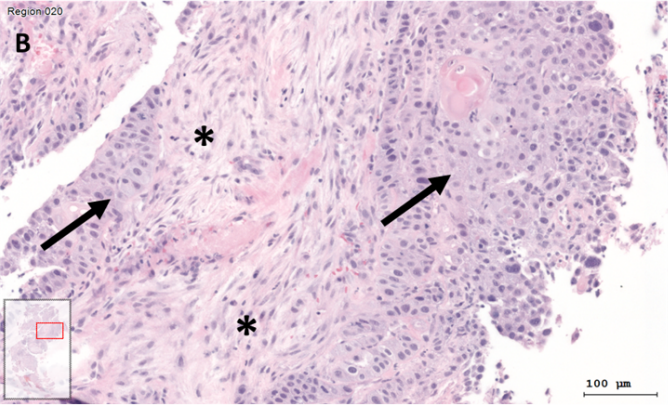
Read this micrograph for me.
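The tumor cells are crowded epithelial cells with purple, enlarged and somewhat irregular nuclei and moderate pale pink cytoplasm, forming solid sheets along the left edge and on the right. Within one nest a small pink whorl of keratinised material is seen. Between the nests lies a paler pink fibrous stroma containing scattered spindle-shaped cells with thin, elongated nuclei running in streams. Empty white spaces at the edges are tissue margins.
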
